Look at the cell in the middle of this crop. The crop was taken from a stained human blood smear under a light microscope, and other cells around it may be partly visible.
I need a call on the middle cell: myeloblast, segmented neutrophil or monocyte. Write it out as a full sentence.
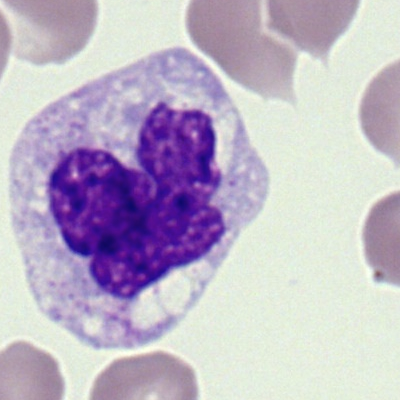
To answer, the cell in the center of the crop is a monocyte.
